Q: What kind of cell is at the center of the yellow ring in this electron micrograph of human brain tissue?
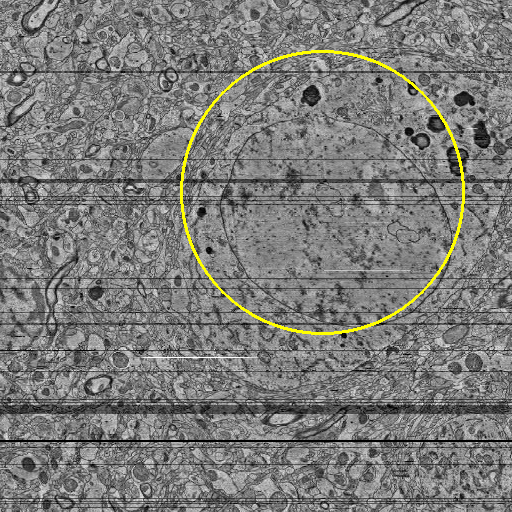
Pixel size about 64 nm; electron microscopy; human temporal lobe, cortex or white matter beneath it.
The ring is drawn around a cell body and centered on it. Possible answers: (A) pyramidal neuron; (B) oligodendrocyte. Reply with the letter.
A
